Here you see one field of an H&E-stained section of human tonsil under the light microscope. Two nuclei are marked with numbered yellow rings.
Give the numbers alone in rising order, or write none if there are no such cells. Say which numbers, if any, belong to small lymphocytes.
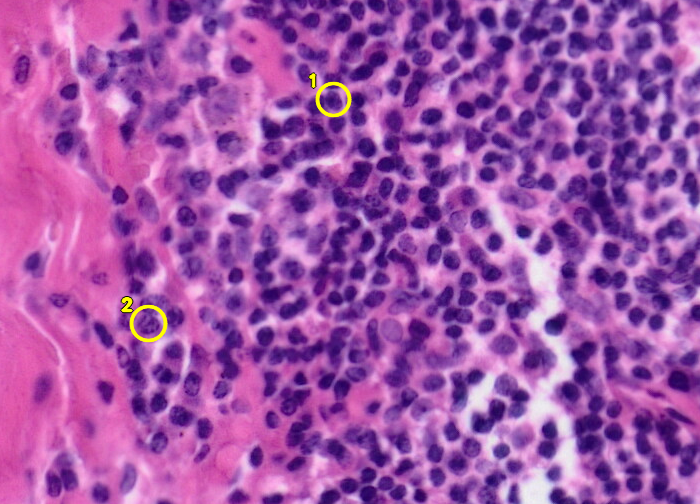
1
